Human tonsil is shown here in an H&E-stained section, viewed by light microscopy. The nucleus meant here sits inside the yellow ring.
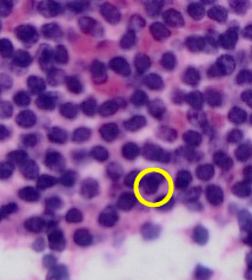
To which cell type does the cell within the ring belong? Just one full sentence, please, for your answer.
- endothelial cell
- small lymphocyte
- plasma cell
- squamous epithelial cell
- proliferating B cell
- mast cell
In the tissue at hand, the cell within the ring is a small lymphocyte.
